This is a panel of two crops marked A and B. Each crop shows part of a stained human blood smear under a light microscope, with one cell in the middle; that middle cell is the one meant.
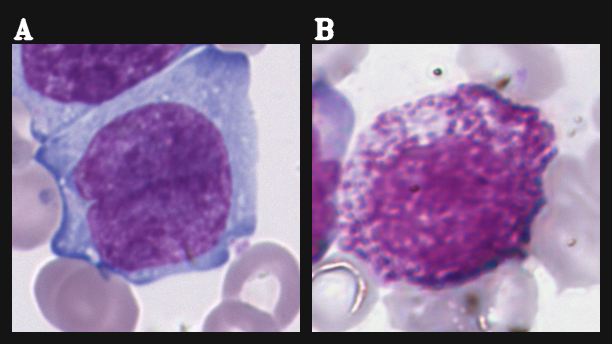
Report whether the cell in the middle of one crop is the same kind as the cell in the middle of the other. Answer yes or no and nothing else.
no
